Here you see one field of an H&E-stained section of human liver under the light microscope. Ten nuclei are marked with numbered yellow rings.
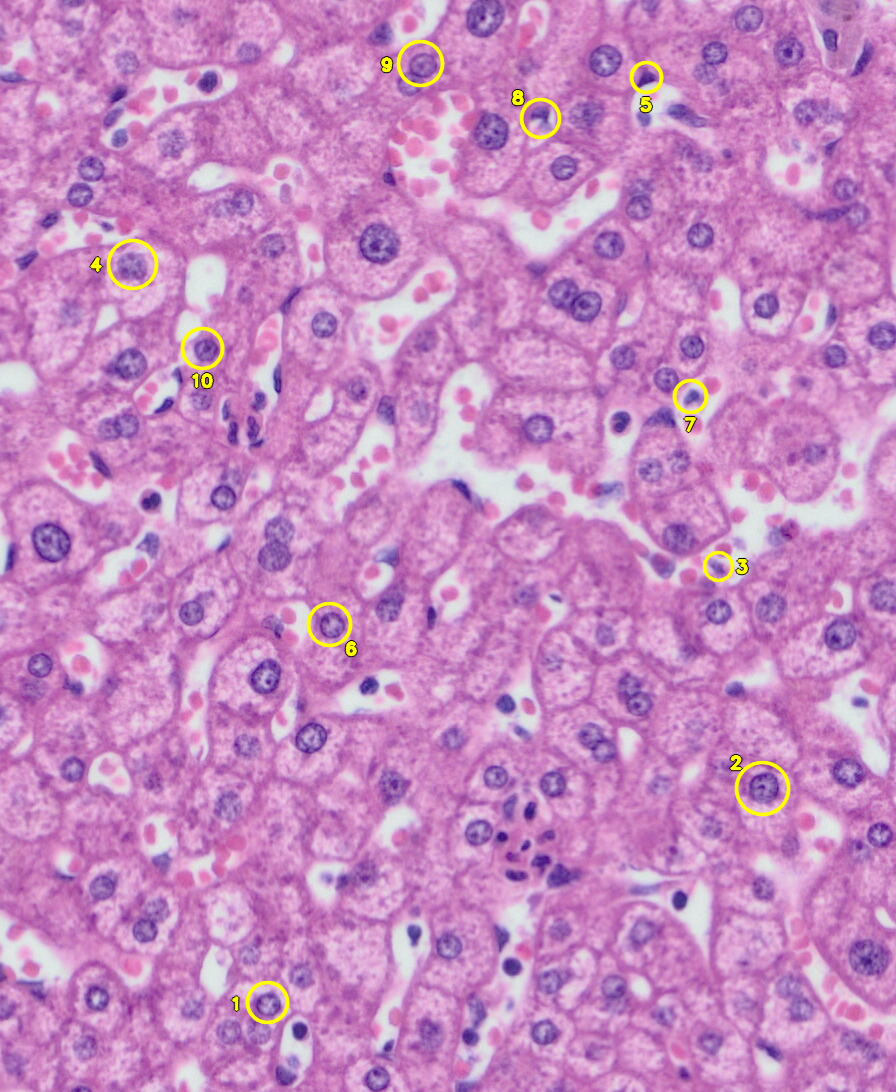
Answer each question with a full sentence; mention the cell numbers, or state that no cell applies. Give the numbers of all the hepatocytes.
When it comes to cells 1, 2, 4, 6, 9 and 10, they are hepatocytes.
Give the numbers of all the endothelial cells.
Only the cell numbered 8 is an endothelial cell; none of the others is.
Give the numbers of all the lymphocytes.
In terms of cell type, cells 3 and 7 are lymphocytes.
